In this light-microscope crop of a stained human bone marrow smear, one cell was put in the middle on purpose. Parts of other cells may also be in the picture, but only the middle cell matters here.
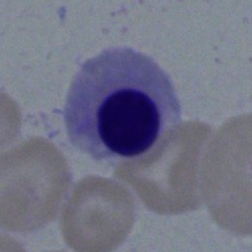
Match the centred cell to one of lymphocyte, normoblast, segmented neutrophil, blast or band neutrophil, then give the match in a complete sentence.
The cell in the middle of the field of view is a normoblast.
